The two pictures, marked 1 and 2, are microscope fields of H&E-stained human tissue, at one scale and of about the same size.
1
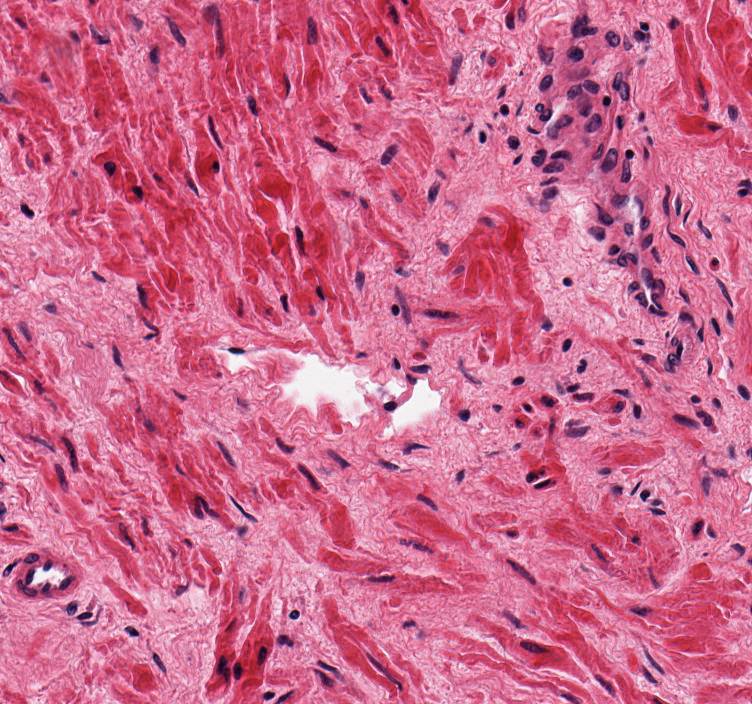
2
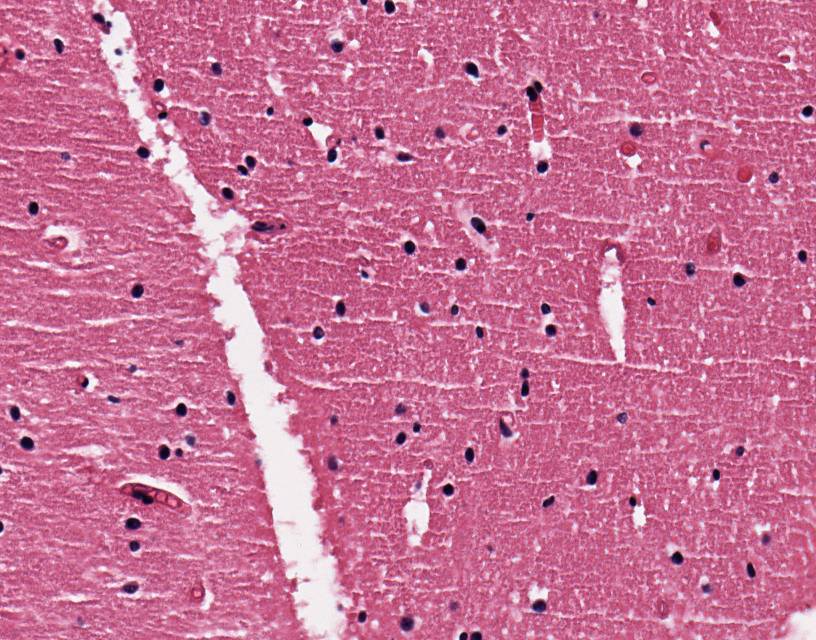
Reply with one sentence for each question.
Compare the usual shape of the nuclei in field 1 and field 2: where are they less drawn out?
On the whole the nuclei of field 2 are rounder than those of field 1.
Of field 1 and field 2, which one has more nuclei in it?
Field 1 holds more nuclei than field 2.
